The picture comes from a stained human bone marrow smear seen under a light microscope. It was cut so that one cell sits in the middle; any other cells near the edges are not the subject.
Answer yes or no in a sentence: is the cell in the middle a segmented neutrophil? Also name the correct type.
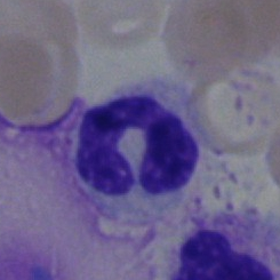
Yes, this central cell is a segmented neutrophil.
